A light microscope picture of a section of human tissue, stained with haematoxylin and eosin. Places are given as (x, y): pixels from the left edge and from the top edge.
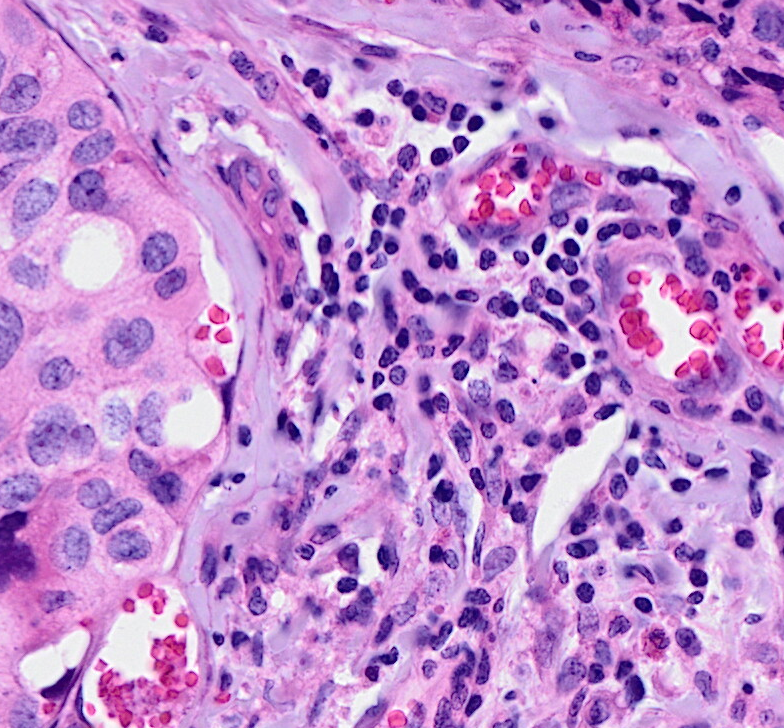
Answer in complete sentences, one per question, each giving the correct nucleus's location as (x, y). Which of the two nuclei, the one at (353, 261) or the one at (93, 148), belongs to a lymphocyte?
The nucleus contained in a lymphocyte is the one at (353, 261).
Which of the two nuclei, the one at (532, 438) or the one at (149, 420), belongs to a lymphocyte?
Of the two nuclei, it is the one at (532, 438) that lies within a lymphocyte.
